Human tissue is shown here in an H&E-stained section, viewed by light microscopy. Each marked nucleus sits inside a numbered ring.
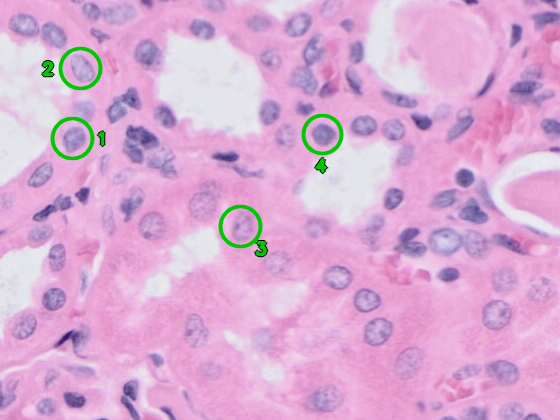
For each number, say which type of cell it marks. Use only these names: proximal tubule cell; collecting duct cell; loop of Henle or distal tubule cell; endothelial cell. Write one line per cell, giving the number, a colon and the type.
1: loop of Henle or distal tubule cell
2: loop of Henle or distal tubule cell
3: proximal tubule cell
4: loop of Henle or distal tubule cell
